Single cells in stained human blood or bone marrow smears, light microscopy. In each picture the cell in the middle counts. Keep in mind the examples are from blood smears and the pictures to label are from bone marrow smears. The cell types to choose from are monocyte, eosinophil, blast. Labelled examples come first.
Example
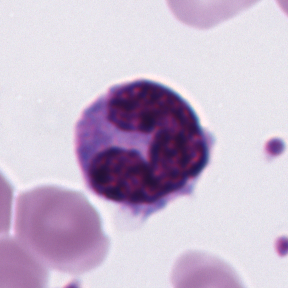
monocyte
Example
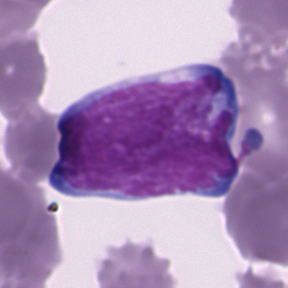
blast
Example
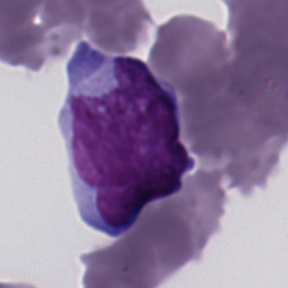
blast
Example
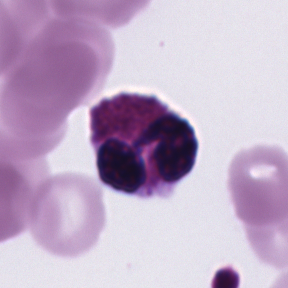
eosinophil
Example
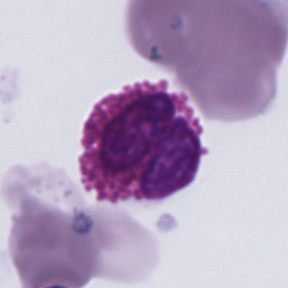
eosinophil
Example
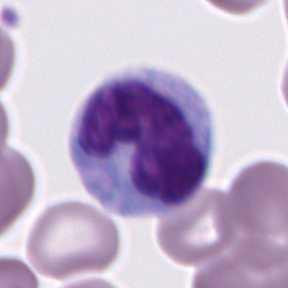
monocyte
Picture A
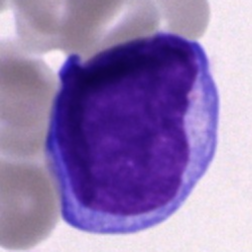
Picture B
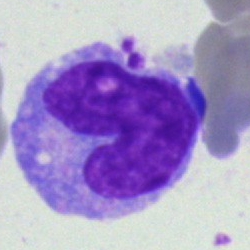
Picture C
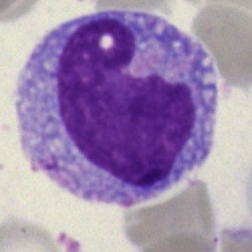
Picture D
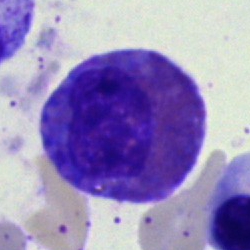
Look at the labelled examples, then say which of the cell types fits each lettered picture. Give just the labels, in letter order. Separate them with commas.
blast, monocyte, monocyte, eosinophil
